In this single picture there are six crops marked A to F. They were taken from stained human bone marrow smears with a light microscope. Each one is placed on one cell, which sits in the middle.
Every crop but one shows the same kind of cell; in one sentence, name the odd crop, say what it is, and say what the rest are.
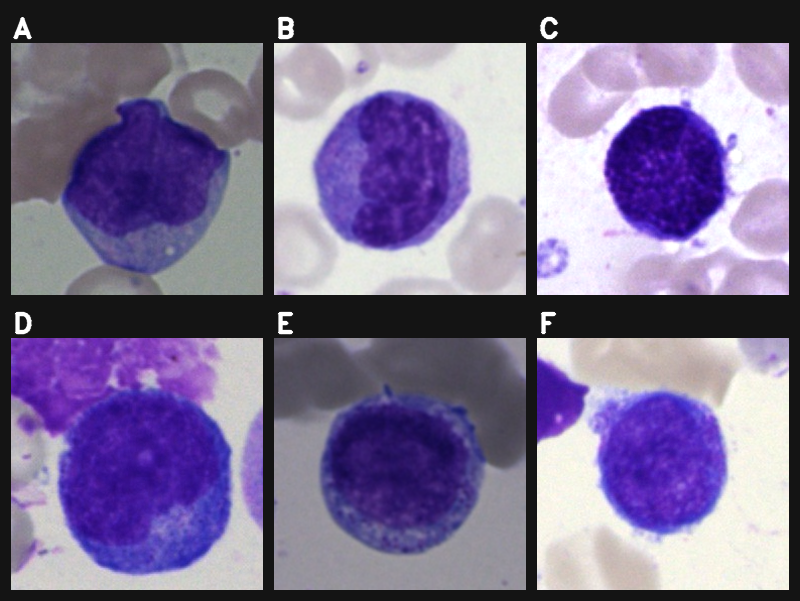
The exception is crop B, with a monocyte; the remaining crops all show blasts.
